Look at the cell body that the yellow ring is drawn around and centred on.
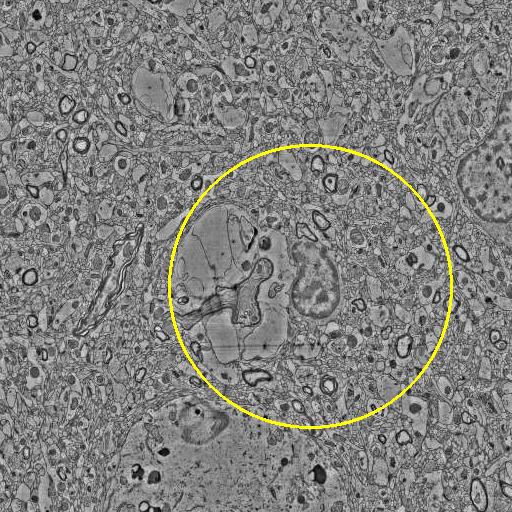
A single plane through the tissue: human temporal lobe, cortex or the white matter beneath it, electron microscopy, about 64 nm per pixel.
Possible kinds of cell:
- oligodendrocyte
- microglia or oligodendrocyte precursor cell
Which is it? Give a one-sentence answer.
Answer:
The centred cell body is that of an oligodendrocyte.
